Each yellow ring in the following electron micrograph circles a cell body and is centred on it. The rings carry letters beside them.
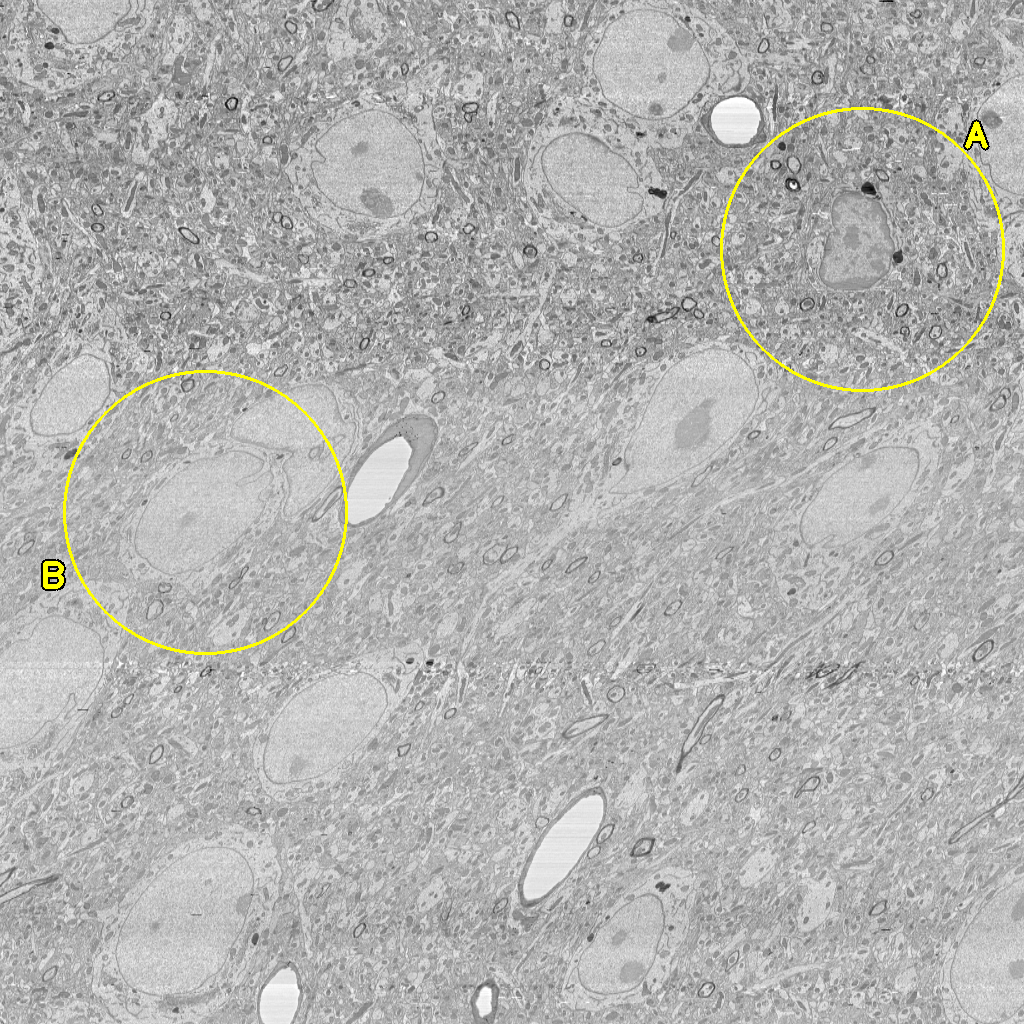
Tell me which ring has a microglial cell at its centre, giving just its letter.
A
